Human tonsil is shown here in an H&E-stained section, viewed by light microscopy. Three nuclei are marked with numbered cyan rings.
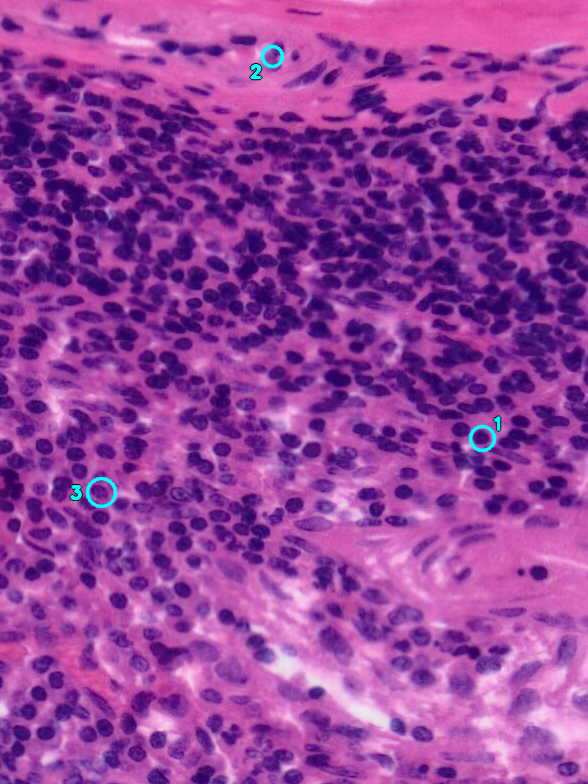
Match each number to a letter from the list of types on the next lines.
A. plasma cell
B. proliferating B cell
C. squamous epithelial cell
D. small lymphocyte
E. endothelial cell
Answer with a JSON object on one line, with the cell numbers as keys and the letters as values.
{"1": "A", "2": "E", "3": "A"}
